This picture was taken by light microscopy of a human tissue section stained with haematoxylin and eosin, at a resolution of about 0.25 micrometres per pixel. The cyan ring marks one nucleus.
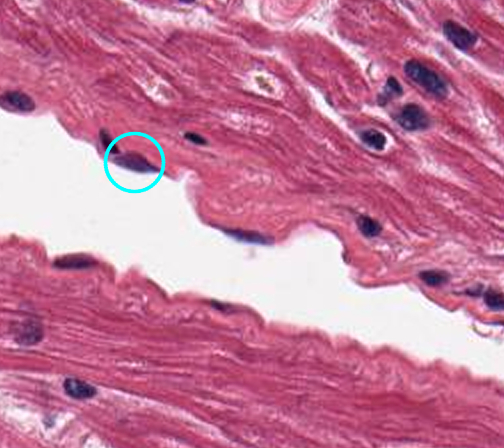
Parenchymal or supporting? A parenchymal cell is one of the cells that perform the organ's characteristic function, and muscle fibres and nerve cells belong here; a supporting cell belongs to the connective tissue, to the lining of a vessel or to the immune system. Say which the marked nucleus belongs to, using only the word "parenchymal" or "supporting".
supporting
